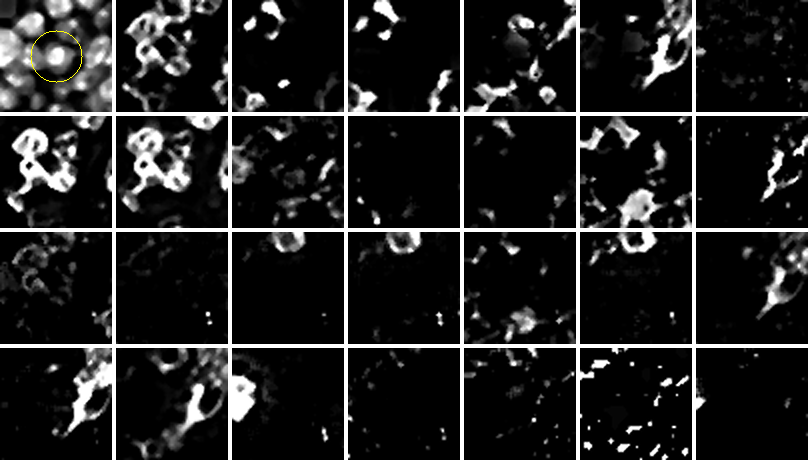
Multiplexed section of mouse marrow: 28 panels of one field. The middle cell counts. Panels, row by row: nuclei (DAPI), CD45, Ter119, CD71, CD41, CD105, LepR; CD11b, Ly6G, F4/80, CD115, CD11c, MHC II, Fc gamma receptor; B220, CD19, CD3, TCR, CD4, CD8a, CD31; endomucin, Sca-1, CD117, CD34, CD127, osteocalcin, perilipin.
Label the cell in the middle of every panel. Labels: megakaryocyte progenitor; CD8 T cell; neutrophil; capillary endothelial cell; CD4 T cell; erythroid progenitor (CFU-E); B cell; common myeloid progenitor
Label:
neutrophil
